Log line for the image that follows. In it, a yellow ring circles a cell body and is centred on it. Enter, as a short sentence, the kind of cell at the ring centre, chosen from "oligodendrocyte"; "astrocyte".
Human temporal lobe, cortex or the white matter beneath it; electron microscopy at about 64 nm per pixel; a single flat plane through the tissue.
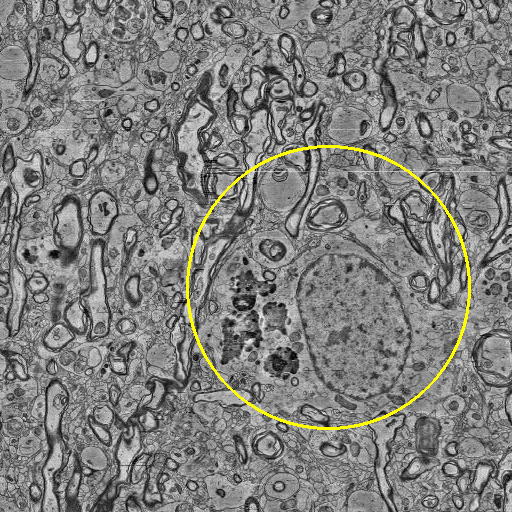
The ring centre is occupied by an astrocyte.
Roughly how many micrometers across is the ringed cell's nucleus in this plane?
The nucleus of the ringed cell is approximately 10 by 7 micrometres in this plane.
